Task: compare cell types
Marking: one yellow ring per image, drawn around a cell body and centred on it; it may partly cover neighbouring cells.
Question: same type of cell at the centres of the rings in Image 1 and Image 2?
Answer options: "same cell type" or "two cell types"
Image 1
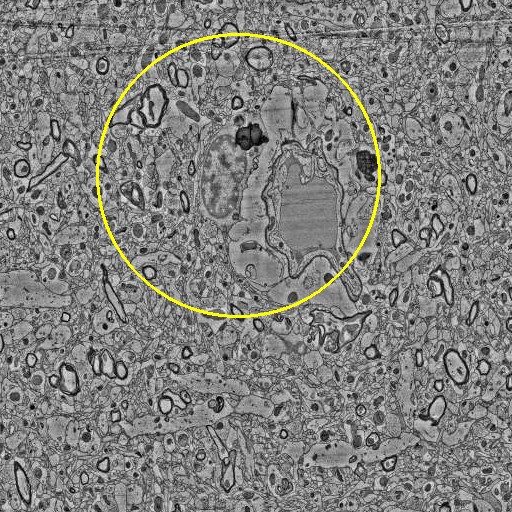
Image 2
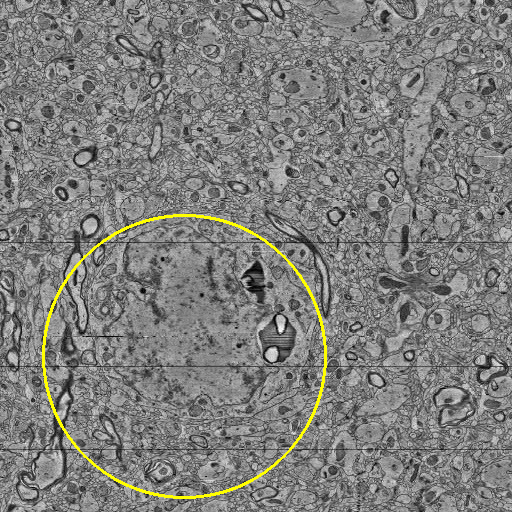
two cell types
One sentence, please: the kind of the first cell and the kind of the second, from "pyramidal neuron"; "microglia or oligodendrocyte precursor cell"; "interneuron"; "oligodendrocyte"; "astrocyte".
The ring in the first picture surrounds an oligodendrocyte, and the ring in the second surrounds an interneuron.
